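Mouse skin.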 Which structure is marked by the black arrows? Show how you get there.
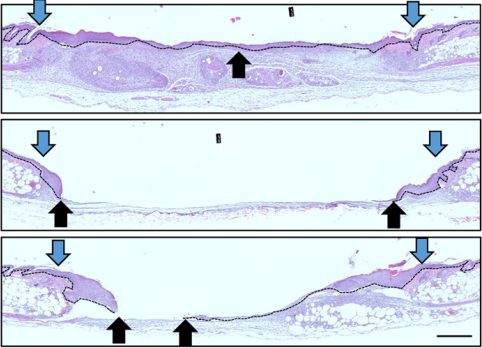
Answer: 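Migrating epithelial tongue. A dashed line traces this pink layer from the skin margins to where the arrows point.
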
